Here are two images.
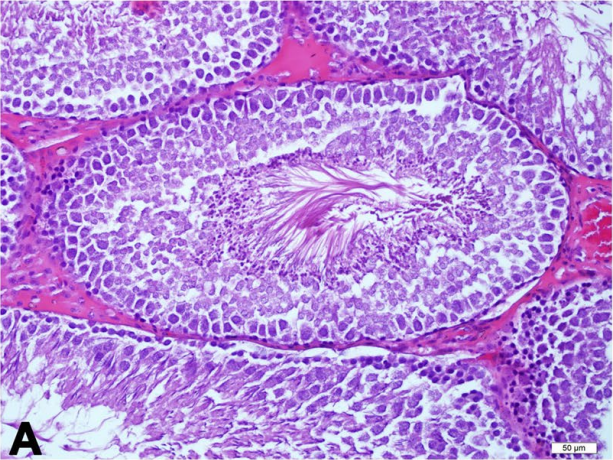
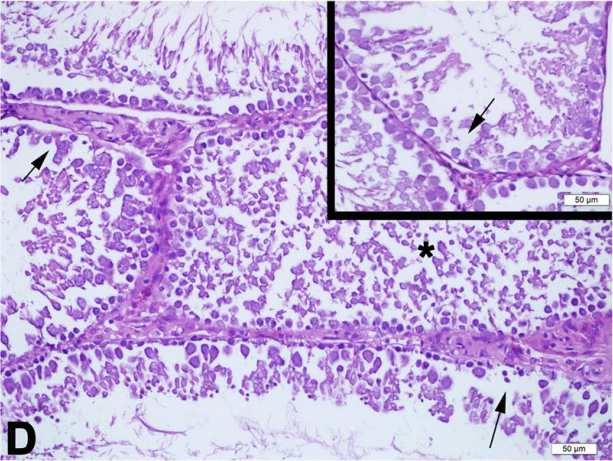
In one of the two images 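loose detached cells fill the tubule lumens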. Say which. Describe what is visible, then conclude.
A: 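The second image. Second image: tubule lumens are crowded with scattered free round cells. First image: the lumen holds orderly spermatid tails with an intact layered epithelium around it.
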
